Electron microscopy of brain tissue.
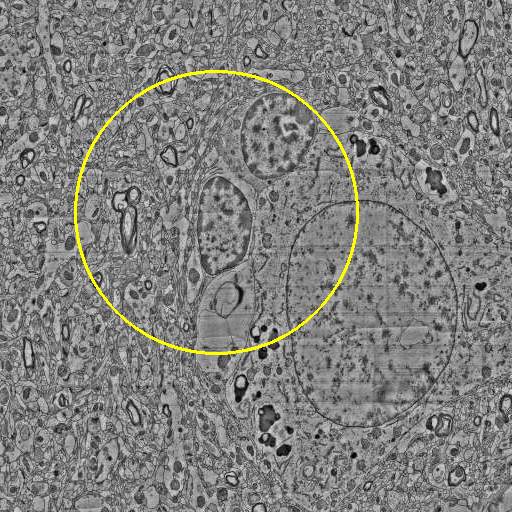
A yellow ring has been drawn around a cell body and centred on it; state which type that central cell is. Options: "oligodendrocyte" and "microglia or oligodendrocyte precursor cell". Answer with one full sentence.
The cell at the middle of the yellow ring is a microglial cell or oligodendrocyte precursor cell in this picture.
